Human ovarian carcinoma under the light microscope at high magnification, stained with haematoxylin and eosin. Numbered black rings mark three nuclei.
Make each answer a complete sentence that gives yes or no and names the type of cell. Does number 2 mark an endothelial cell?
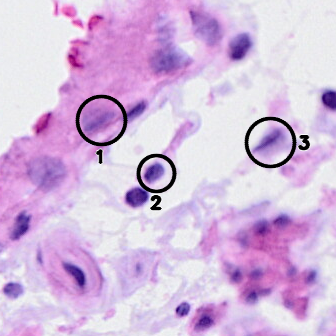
No, the cell that carries number 2 is a lymphocyte, not an endothelial cell.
